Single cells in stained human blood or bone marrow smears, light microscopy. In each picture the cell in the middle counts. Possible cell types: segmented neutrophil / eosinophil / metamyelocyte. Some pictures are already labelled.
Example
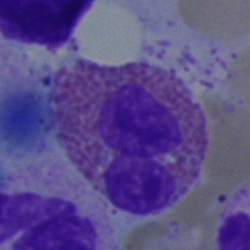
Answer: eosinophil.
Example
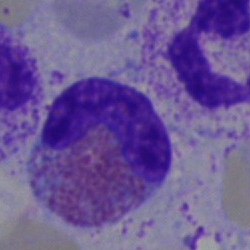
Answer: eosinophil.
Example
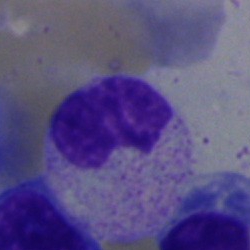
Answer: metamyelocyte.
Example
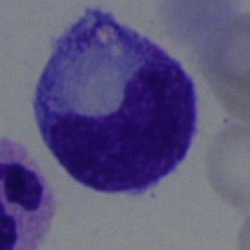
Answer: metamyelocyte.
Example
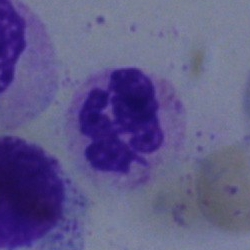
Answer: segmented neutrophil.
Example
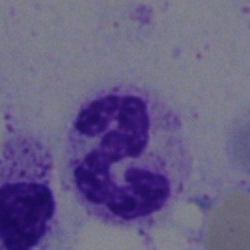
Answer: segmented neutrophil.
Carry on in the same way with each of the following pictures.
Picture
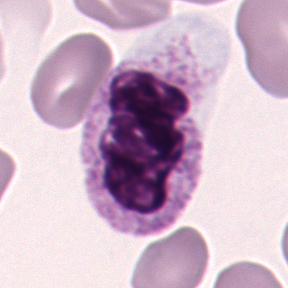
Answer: segmented neutrophil.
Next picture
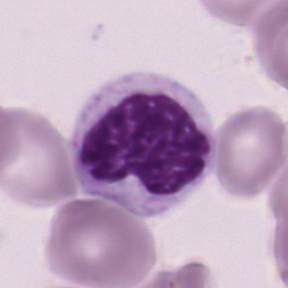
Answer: metamyelocyte.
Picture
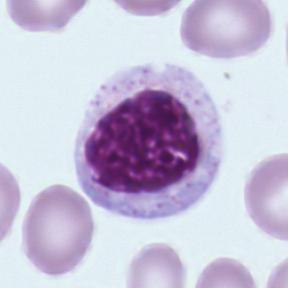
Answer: metamyelocyte.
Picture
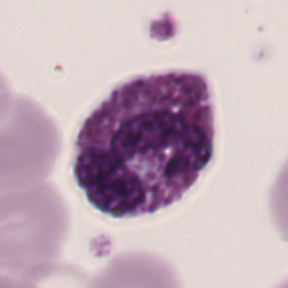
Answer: eosinophil.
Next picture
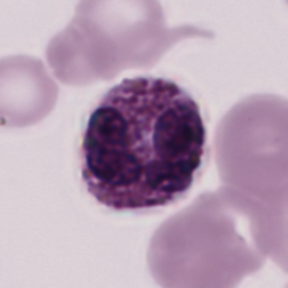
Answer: eosinophil.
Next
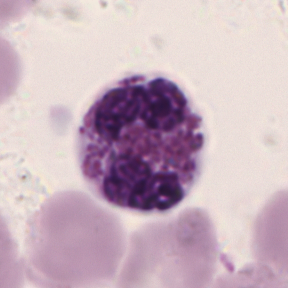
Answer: eosinophil.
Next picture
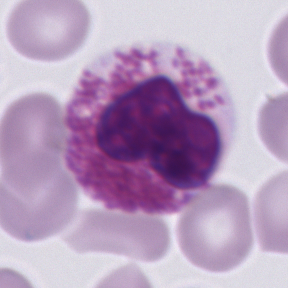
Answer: eosinophil.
